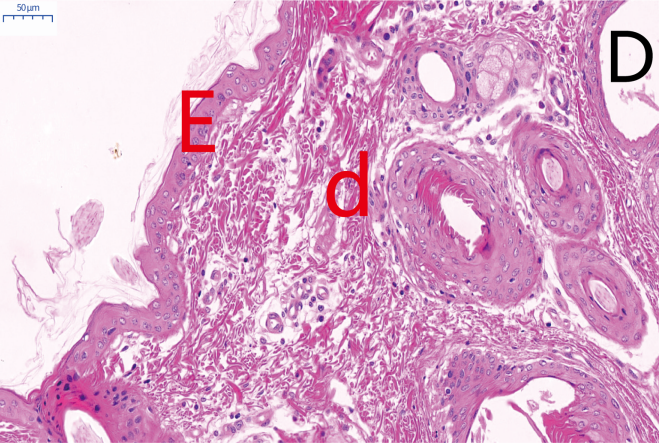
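The epidermis is a narrow band of a few cell layers, with flattened pink surface layers and small purple nuclei. Below it, the dermis is a loose meshwork of pink fibres with scattered small, elongated dark nuclei. Toward the right, hair follicles in cross-section show rings of epithelial cells around a bright pink, keratinized core with a central opening. At the top, a cluster of pale, foamy cells lies beside a follicle.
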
